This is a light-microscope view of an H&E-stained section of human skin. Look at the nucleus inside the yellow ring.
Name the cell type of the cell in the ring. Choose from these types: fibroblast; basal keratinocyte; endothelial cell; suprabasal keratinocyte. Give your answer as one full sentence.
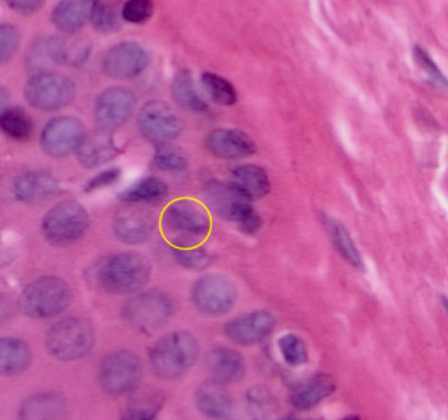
With respect to cell type, the cell in the ring is a basal keratinocyte.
